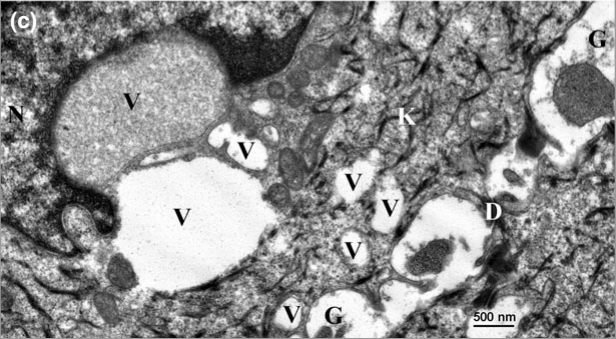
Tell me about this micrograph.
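At the edge of a nucleus with dark-rimmed chromatin, the cytoplasm holds several clear round vacuoles of different sizes, one filled with fine granular material, along with mitochondria and scattered dark wavy filament strands. Toward the right, clear gaps between cell membranes contain clumps of dark granular debris, and a small dense membrane plaque lies beside one gap. These are keratinocytes with disturbed keratin filaments, perinuclear vacuoles, a small detached desmosome and widened intercellular spaces holding debris.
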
